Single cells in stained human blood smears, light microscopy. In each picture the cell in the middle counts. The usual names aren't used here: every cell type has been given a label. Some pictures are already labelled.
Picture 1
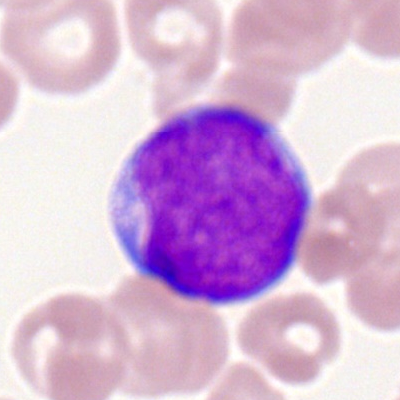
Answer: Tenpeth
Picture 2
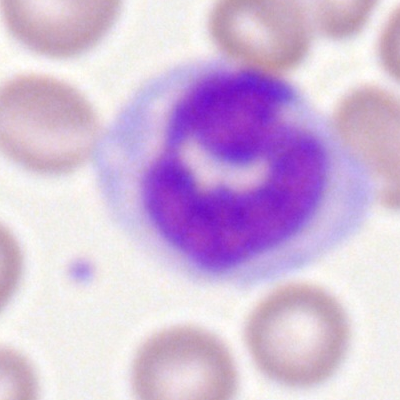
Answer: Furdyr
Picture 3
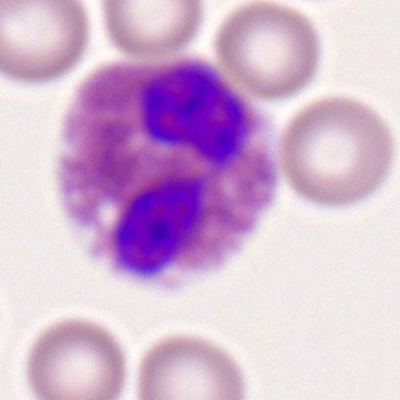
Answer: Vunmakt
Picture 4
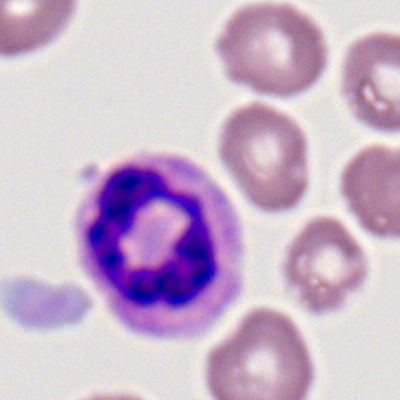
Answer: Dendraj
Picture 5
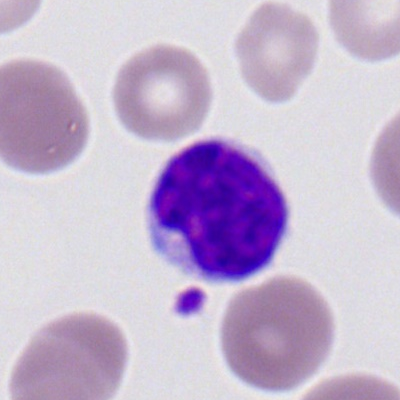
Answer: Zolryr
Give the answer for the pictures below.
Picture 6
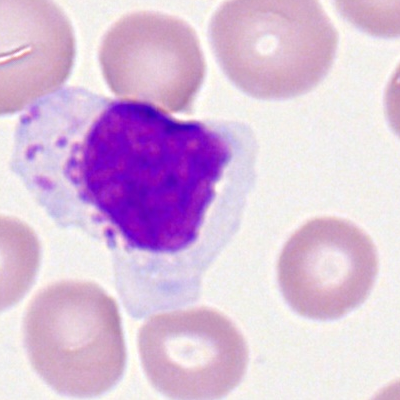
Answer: Zolryr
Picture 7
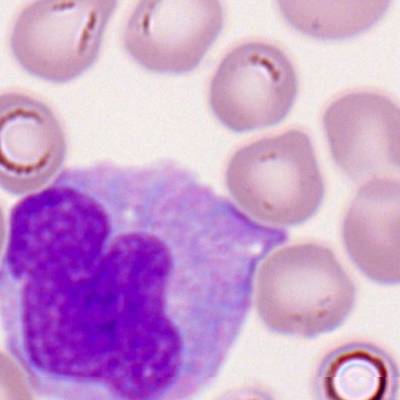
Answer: Furdyr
